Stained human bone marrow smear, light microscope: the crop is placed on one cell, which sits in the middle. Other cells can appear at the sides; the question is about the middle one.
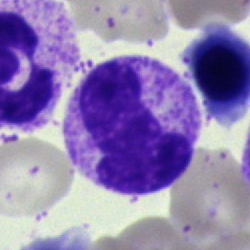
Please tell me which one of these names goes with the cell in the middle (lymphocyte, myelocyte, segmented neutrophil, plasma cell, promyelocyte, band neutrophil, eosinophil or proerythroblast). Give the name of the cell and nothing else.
band neutrophil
